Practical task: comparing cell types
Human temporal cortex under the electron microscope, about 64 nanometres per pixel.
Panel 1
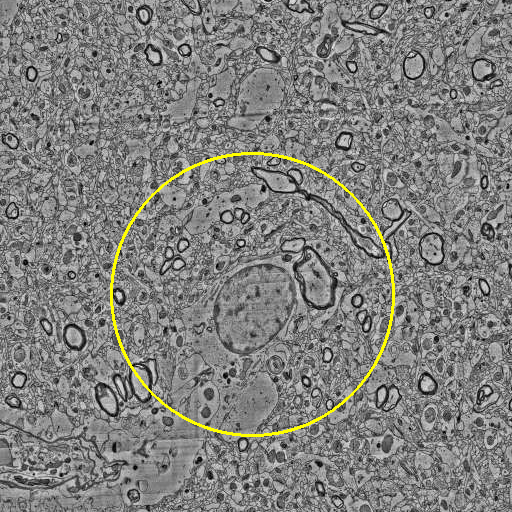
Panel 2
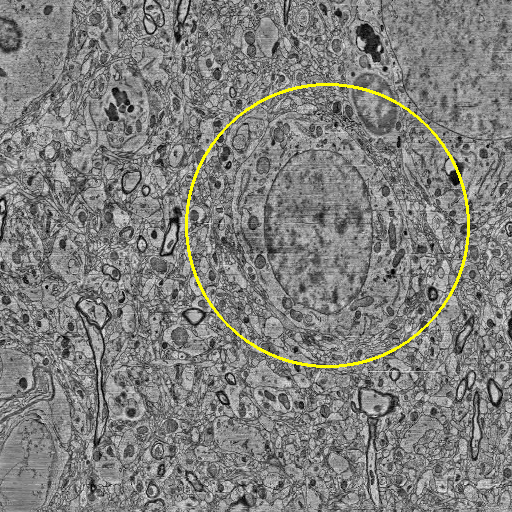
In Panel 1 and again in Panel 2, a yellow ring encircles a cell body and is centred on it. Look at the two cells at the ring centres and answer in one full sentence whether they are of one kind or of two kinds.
The two cells sitting at the ring centres of Panels 1 and 2 are of two kinds.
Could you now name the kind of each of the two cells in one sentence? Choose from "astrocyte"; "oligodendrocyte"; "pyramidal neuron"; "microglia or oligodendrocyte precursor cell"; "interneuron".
The first ring encloses a microglial cell or oligodendrocyte precursor cell; the second ring encloses an interneuron.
